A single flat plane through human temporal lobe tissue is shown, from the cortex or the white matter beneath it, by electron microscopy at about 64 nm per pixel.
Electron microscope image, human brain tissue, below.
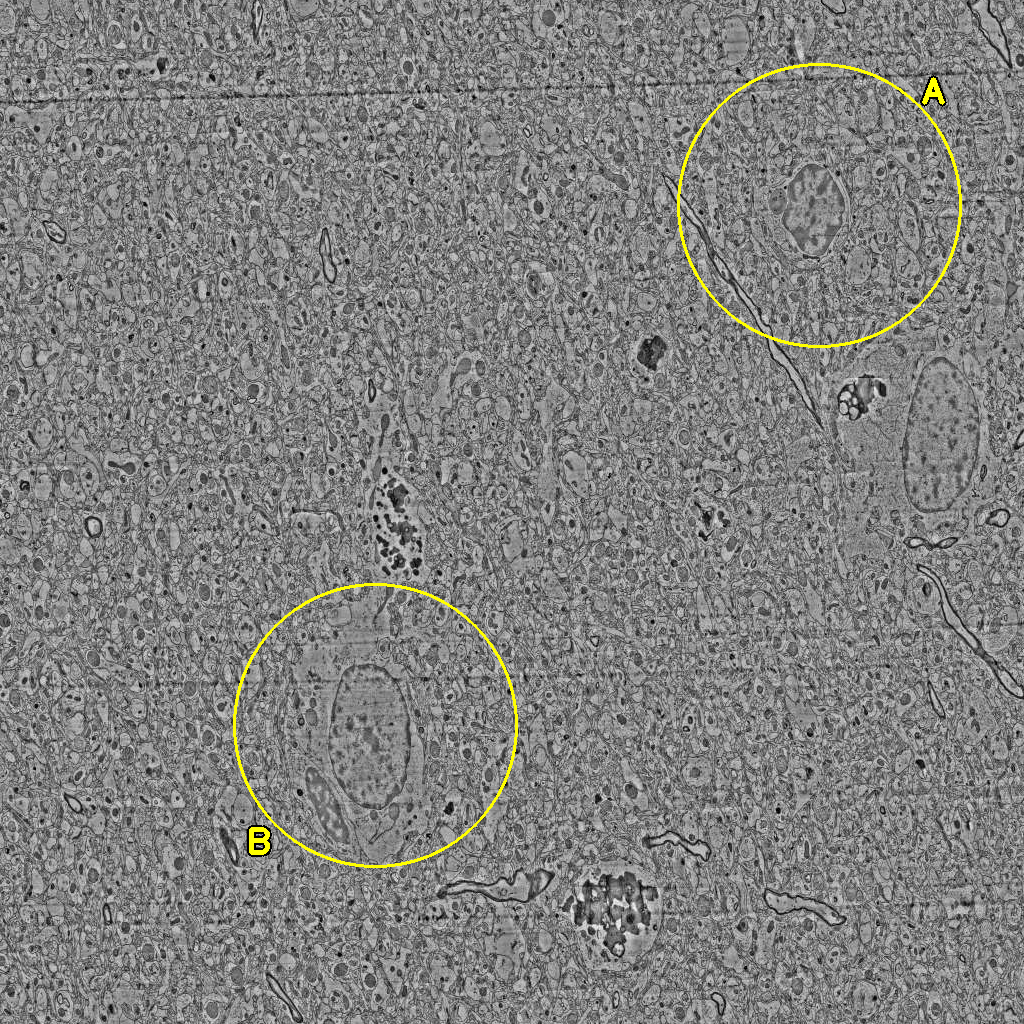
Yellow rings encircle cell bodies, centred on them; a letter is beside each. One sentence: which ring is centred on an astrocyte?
It is ring B.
